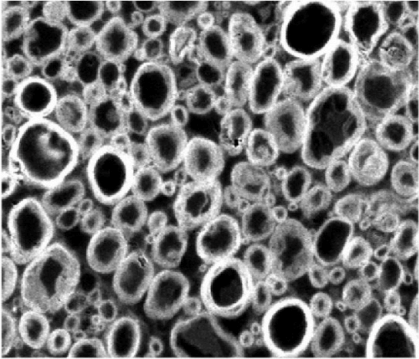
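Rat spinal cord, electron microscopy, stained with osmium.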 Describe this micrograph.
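The fibres vary widely in size, from small profiles of about a micrometre to large ones several times wider, and small and large fibres are intermixed. The rings of neighbouring fibres lie close together, leaving only narrow spaces between them. Some profiles are irregular or slightly collapsed rather than perfectly circular.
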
